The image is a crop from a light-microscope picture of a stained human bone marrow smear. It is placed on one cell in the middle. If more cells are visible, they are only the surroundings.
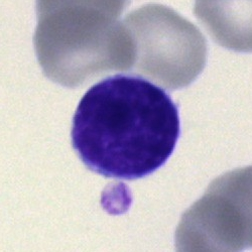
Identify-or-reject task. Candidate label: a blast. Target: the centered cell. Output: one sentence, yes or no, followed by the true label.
No, the middle cell is classified as a lymphocyte and not as a blast.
